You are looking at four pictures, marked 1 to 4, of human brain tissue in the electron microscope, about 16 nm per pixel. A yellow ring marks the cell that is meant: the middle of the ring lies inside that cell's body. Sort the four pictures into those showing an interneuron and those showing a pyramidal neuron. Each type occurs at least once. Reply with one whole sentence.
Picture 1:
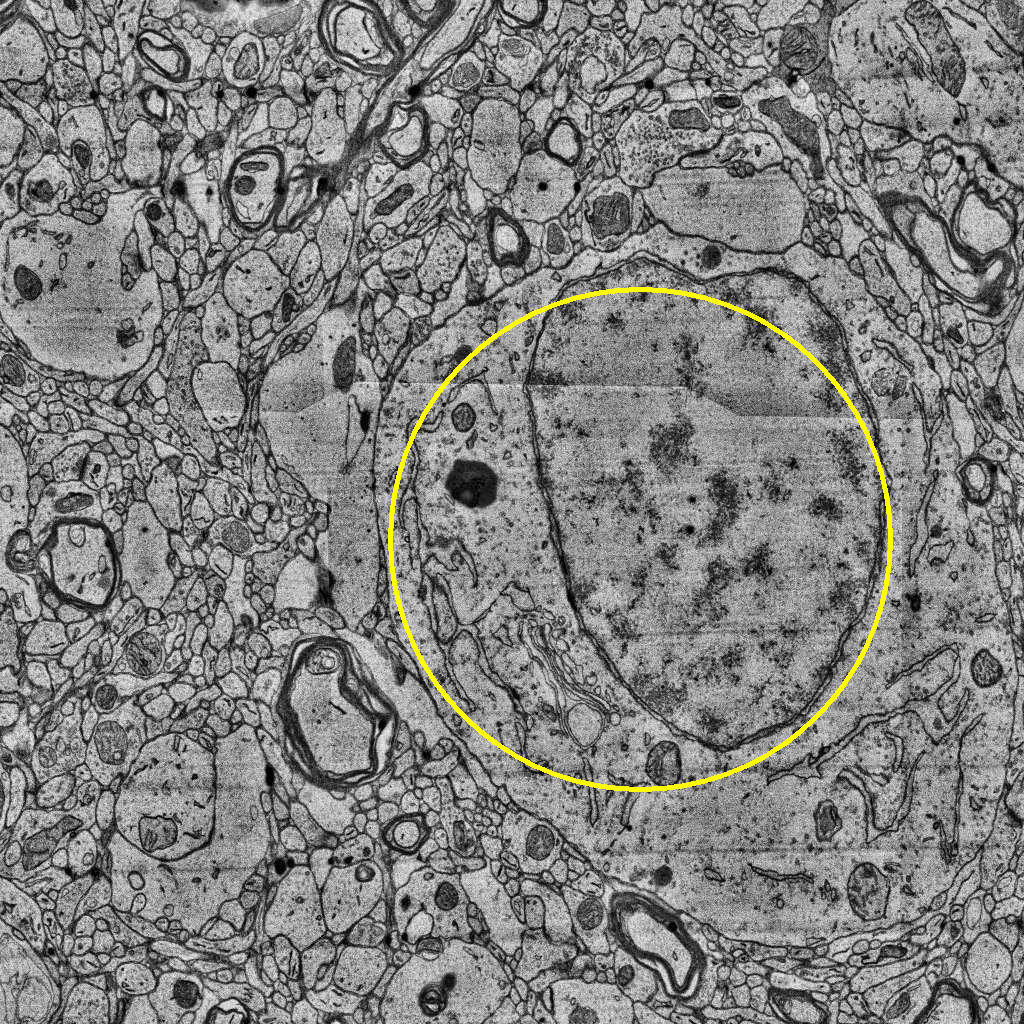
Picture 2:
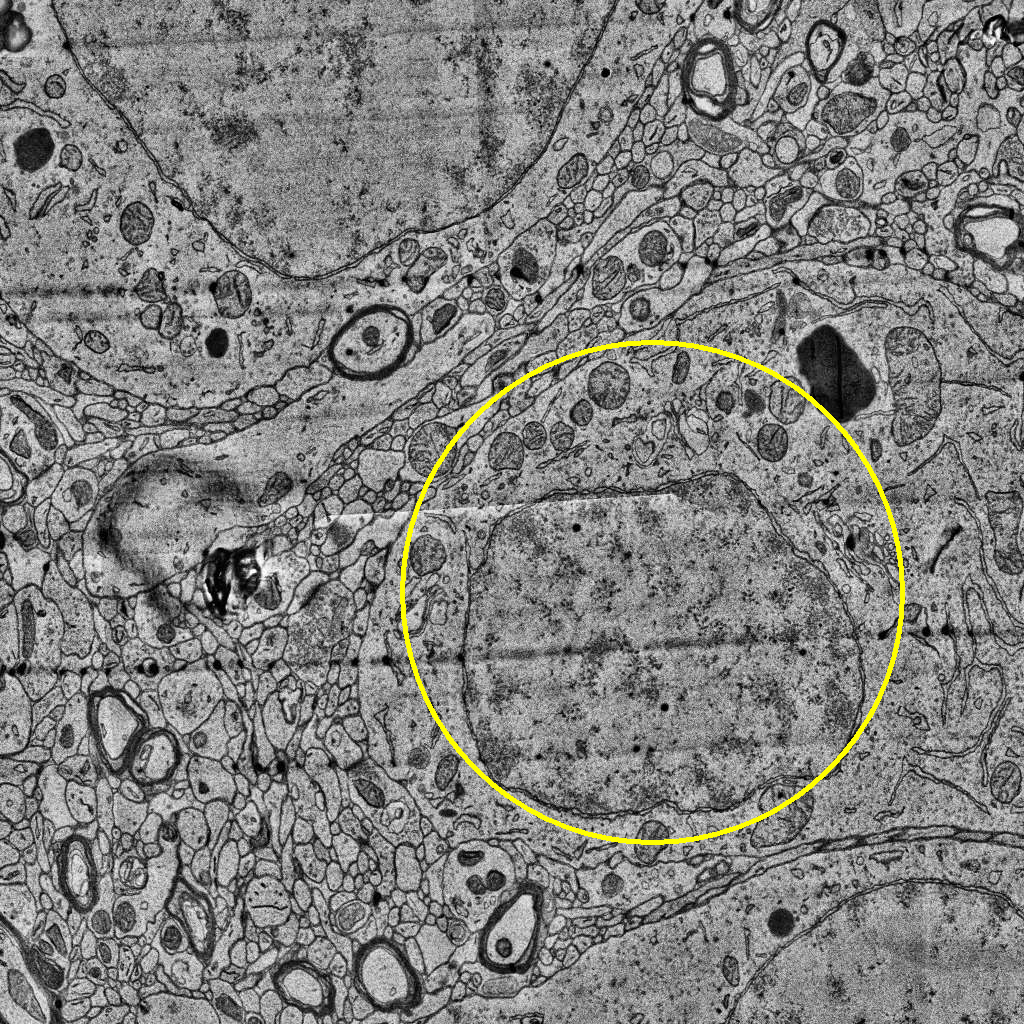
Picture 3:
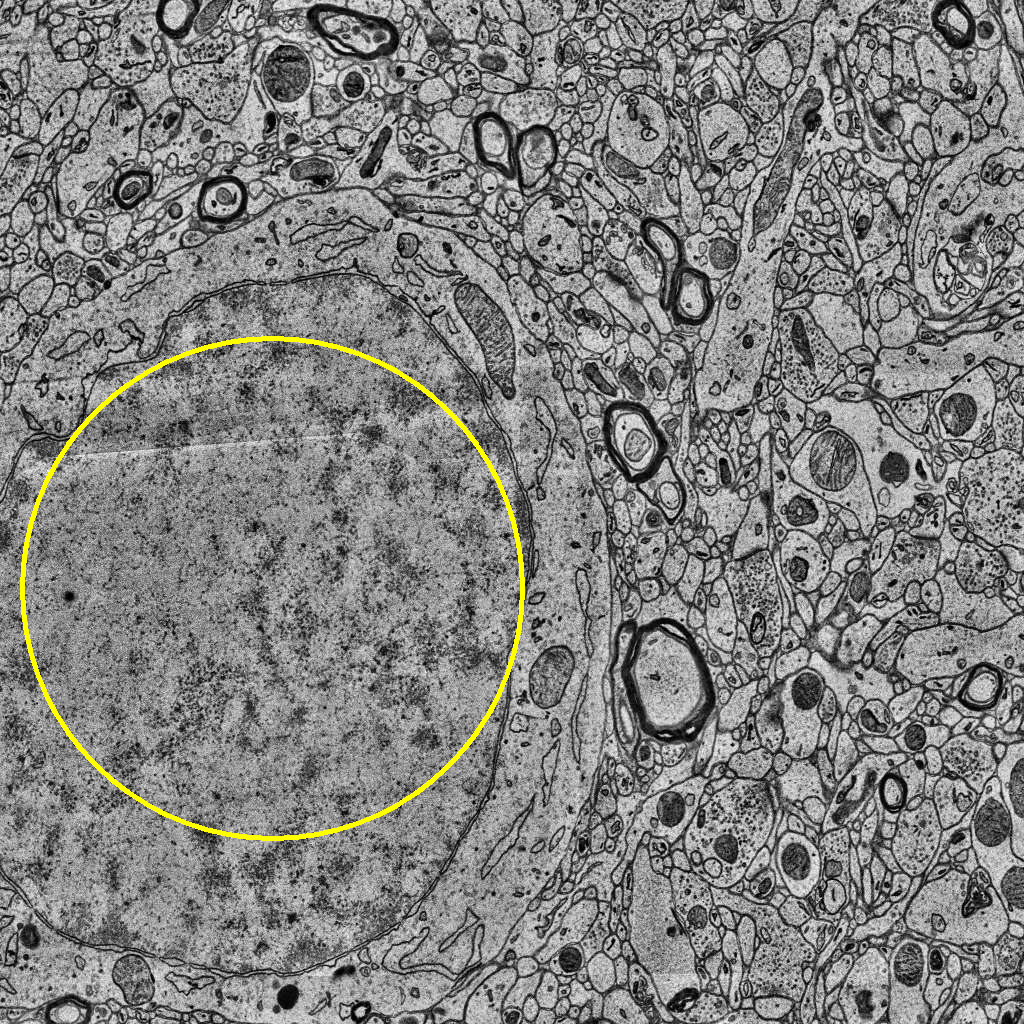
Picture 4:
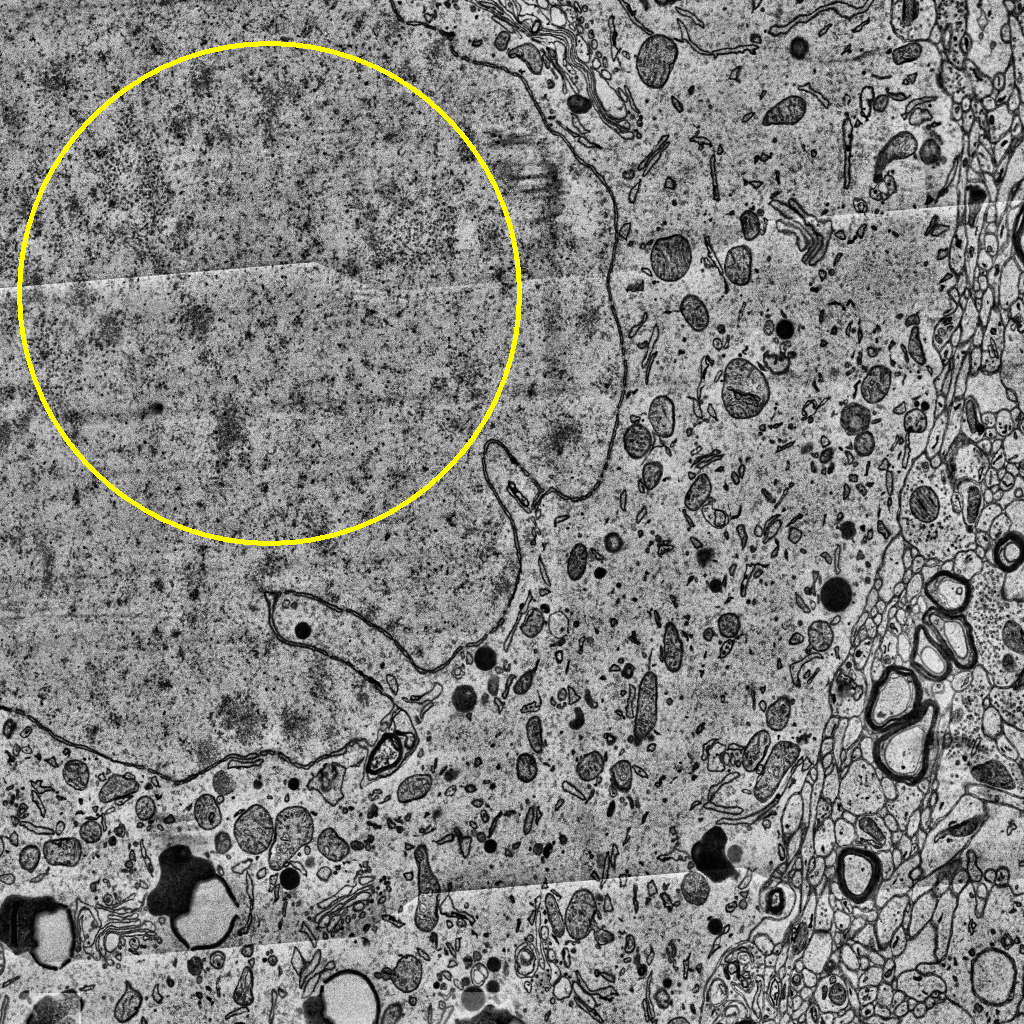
Pictures 2 and 3 show interneurons, while pictures 1 and 4 show pyramidal neurons.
